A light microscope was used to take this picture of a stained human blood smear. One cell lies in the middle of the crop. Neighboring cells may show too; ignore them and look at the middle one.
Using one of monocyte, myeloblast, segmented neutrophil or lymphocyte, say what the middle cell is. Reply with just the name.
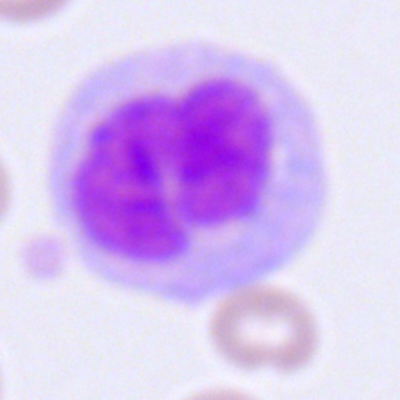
monocyte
